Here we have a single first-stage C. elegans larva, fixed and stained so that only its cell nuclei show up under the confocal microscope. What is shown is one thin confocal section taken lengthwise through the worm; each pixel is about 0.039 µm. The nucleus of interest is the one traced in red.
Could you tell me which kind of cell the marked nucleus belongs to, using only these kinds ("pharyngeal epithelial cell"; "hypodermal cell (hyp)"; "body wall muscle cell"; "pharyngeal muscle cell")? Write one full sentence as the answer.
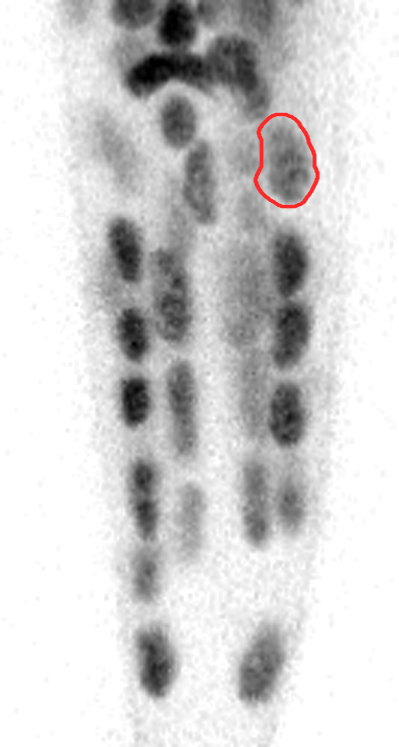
The marked cell is a body wall muscle cell.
